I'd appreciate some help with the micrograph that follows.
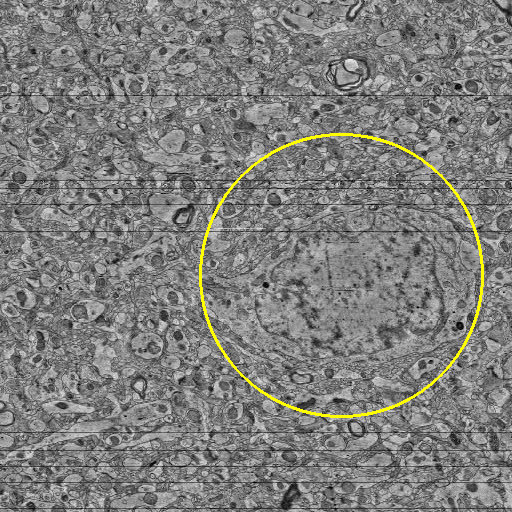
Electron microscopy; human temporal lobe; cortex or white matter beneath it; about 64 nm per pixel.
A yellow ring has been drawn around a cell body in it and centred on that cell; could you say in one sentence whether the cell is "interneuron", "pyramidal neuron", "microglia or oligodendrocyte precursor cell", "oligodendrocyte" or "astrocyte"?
It is an interneuron at the centre of the ring.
